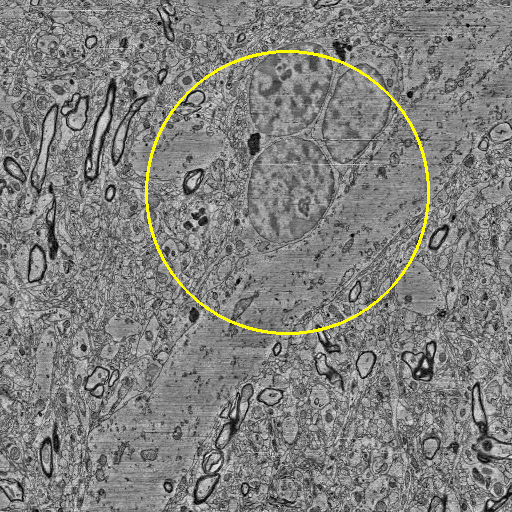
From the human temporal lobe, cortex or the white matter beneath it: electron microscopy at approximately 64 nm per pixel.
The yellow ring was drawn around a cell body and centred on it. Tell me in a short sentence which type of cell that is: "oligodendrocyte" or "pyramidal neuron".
The cell at the ring's centre is an oligodendrocyte.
